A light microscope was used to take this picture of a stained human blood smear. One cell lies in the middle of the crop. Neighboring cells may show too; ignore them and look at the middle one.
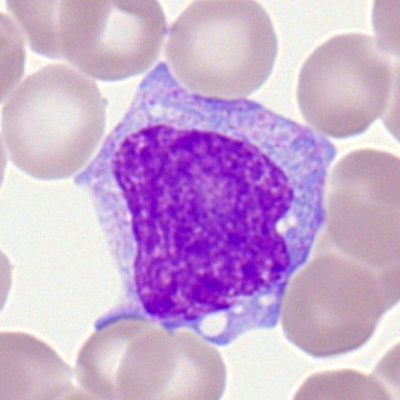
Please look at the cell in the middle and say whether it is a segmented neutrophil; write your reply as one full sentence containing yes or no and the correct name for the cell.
No, the centre cell is not a segmented neutrophil but a monocyte.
